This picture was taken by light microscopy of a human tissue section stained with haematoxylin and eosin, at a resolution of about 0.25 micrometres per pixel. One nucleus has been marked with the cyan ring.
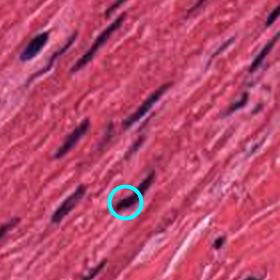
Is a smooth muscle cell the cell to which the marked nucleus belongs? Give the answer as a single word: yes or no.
yes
